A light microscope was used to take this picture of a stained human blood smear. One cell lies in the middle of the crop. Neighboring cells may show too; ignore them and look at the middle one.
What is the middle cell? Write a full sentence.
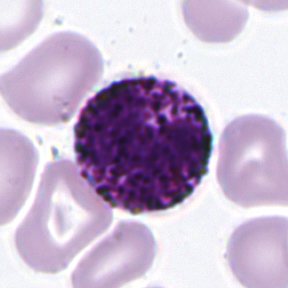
Occupying the centre of the crop is a basophil.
